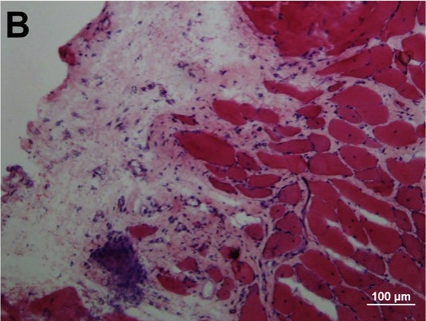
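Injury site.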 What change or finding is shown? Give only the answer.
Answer: Disorganized muscle fibers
